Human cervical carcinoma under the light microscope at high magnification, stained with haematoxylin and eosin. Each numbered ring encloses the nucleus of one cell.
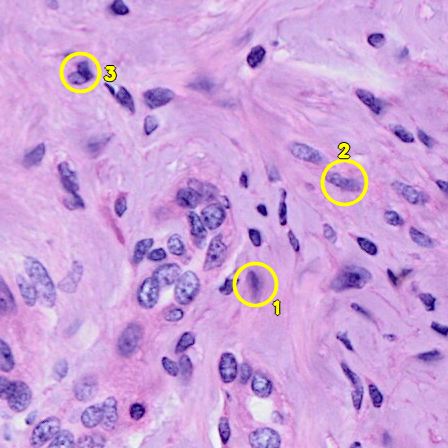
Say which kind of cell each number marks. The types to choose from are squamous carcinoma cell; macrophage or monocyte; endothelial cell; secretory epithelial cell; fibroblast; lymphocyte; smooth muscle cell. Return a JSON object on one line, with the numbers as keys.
{"1": "fibroblast", "2": "smooth muscle cell", "3": "fibroblast"}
